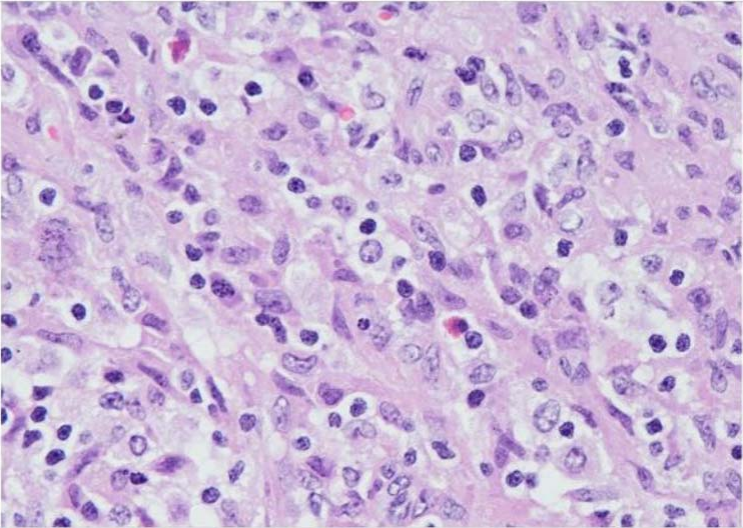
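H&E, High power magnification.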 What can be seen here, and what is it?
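Interspersed among them are smaller cells with compact, dark purple, round nuclei. Some cells have abundant pale or clear, vacuolated cytoplasm with nuclei placed to one side. Segmented, multilobed neutrophil nuclei are not evident. A few bright red blood cells are scattered through the field.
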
